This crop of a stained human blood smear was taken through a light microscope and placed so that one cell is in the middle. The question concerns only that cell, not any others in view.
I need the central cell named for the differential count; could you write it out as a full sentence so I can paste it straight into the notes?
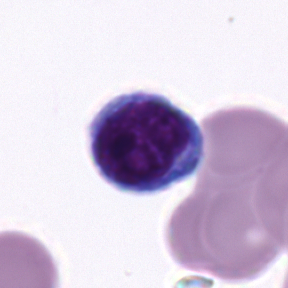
The cell nearest the centre of this crop is a plasma cell.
